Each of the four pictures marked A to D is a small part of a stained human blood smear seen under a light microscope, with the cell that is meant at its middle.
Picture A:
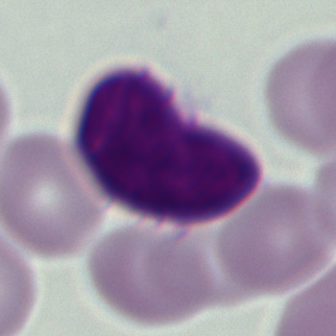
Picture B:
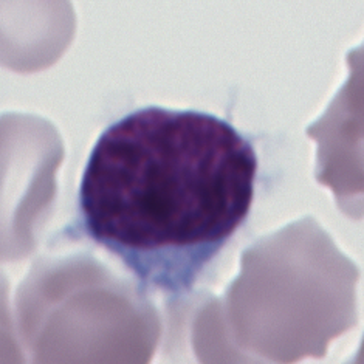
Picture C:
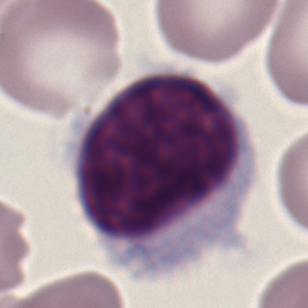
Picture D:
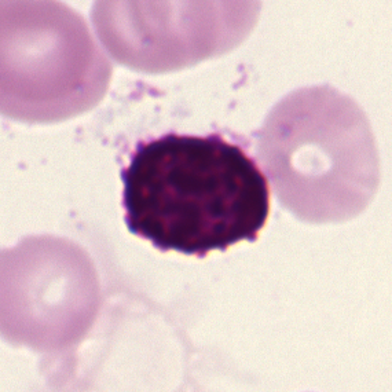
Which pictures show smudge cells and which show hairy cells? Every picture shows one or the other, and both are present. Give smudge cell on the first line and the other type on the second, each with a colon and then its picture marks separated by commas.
smudge cell: A, D
hairy cell: B, C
